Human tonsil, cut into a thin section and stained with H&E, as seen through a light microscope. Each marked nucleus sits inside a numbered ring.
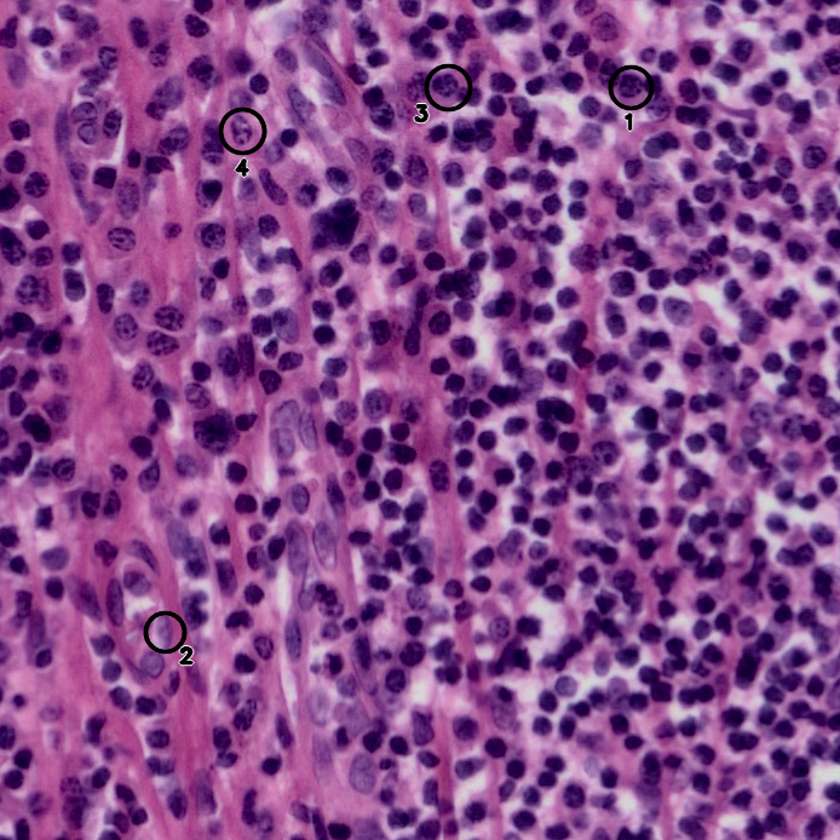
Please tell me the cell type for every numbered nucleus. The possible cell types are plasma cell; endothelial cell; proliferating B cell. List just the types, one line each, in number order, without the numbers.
plasma cell
endothelial cell
plasma cell
plasma cell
